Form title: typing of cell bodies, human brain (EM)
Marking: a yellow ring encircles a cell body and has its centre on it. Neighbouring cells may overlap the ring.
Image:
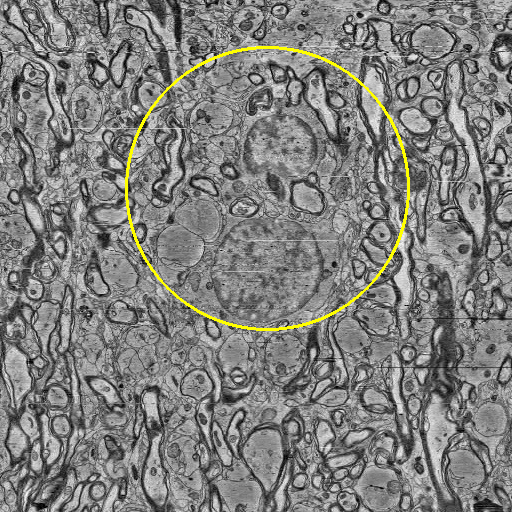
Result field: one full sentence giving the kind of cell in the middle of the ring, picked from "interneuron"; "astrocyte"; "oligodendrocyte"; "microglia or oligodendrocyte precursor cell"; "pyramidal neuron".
In the picture, the ring is centred on an oligodendrocyte, whose cell body it encircles.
